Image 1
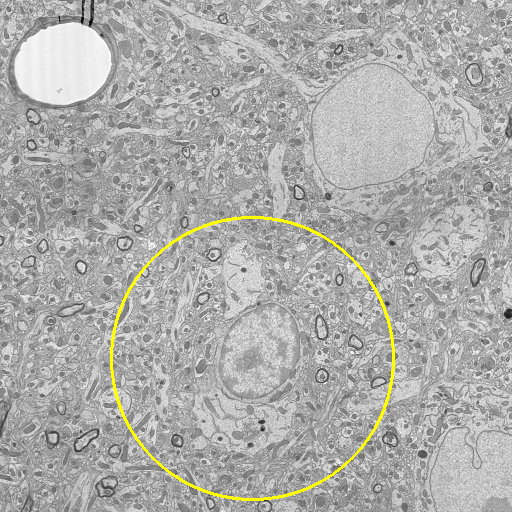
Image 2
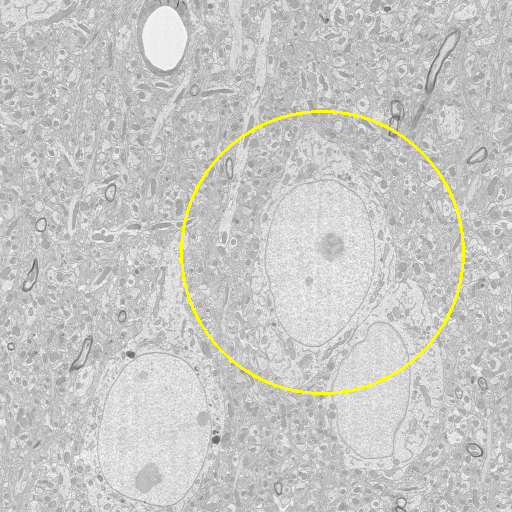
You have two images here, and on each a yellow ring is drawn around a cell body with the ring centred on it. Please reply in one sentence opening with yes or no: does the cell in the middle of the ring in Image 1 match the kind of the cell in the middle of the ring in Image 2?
No, the two images show cells of two kinds at the centres of their rings.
